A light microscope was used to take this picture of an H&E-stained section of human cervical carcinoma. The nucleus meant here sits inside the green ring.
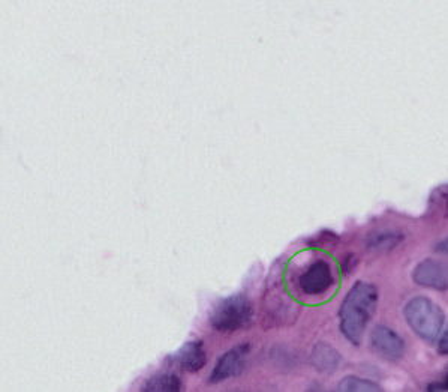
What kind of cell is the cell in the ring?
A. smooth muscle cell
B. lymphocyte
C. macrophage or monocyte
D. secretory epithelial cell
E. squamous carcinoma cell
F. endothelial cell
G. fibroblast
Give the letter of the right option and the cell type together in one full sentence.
Of the options offered, D is correct, as the cell in the ring is a secretory epithelial cell.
